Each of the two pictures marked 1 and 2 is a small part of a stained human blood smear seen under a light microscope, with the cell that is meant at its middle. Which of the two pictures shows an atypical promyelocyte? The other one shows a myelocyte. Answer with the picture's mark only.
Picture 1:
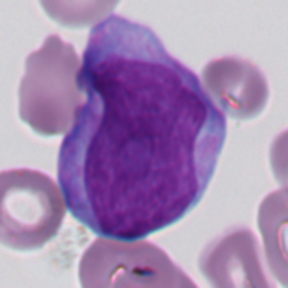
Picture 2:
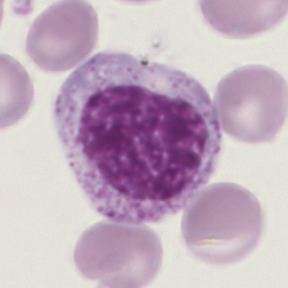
1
